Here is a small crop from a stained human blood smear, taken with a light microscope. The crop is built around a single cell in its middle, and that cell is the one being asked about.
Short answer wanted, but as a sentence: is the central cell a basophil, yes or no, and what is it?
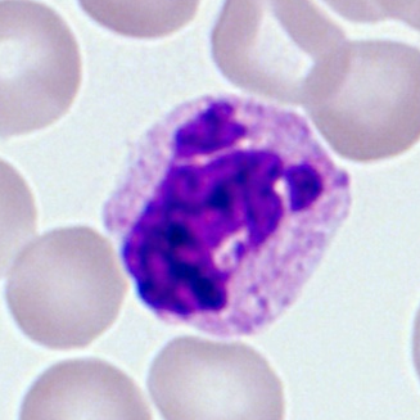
Yes, the cell shown at the crop's centre is a basophil.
